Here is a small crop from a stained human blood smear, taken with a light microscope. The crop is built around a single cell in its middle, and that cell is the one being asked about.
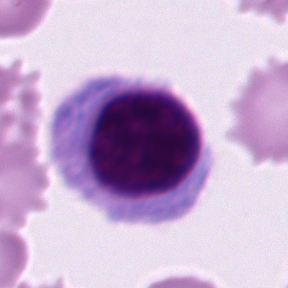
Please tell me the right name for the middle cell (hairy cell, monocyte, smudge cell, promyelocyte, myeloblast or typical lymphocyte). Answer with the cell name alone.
hairy cell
